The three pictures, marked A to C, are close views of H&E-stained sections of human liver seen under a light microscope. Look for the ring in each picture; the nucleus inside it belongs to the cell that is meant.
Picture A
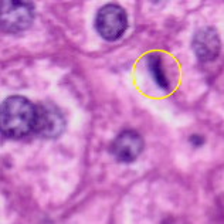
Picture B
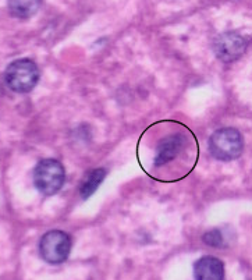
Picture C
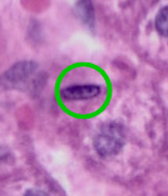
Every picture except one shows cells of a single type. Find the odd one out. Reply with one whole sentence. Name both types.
The others show endothelial cells, but picture C shows a “fibroblast or stellate cell”.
